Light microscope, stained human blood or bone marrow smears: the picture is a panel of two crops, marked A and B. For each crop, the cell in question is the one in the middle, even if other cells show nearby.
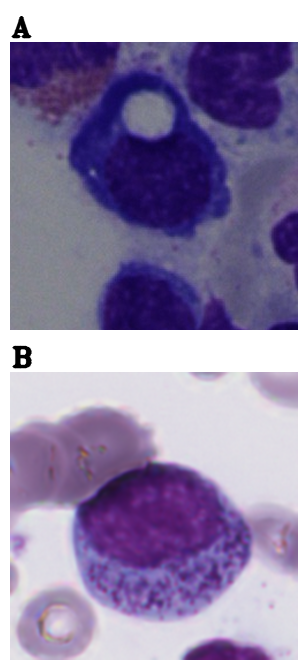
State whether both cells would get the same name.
no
